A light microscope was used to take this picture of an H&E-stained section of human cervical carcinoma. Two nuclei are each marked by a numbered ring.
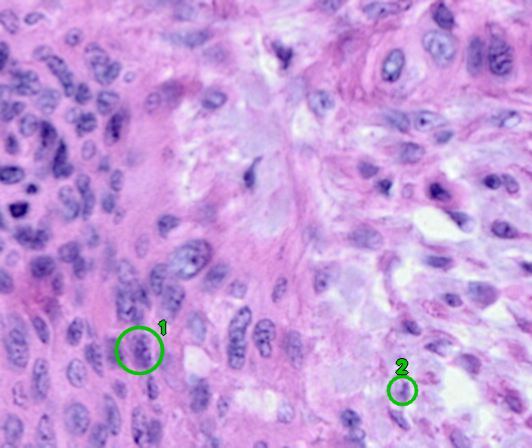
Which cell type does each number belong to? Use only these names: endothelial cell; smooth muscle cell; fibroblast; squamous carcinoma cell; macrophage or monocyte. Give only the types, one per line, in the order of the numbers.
squamous carcinoma cell
fibroblast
